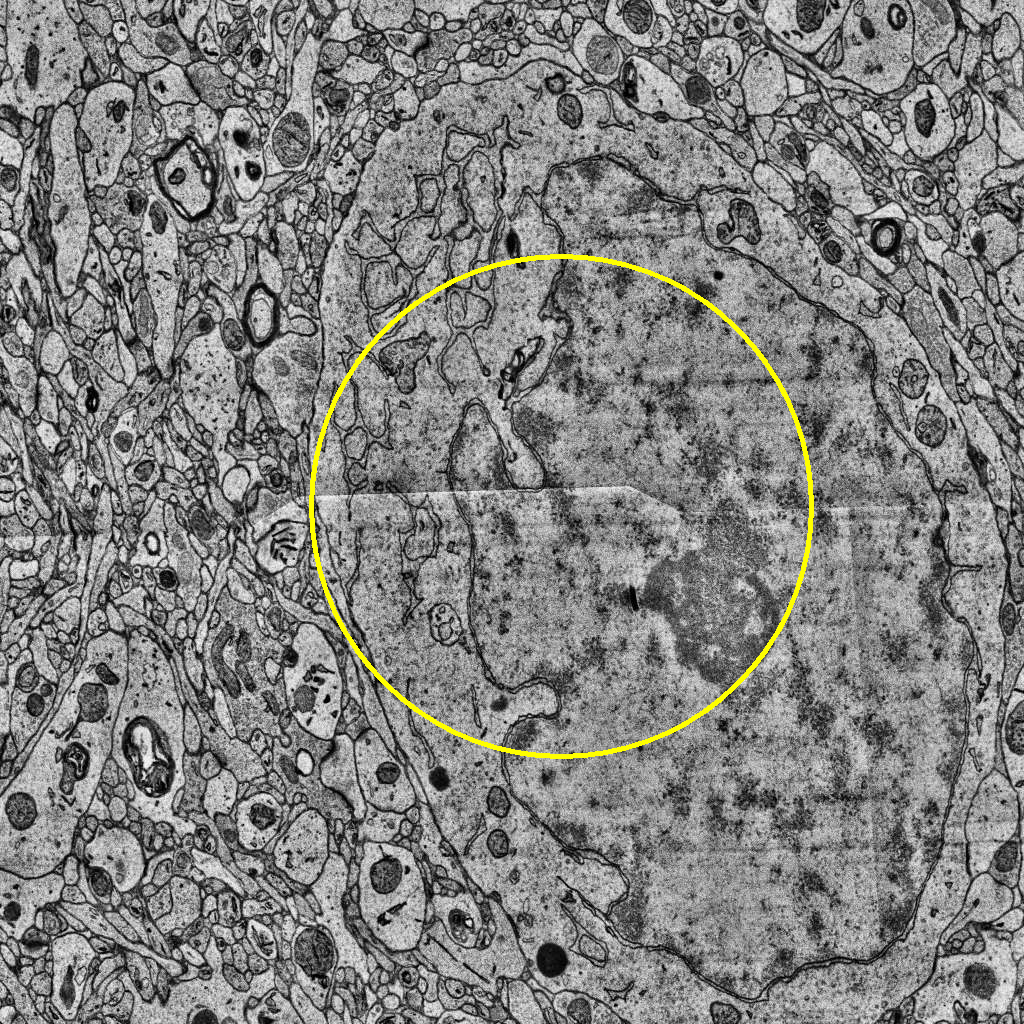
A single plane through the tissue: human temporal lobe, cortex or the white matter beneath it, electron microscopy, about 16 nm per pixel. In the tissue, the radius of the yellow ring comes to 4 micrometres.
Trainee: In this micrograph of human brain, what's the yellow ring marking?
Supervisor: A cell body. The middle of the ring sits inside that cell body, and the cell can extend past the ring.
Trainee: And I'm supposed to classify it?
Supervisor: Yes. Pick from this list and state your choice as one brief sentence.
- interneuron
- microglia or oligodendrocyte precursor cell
The cell at the ring's center is an interneuron.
